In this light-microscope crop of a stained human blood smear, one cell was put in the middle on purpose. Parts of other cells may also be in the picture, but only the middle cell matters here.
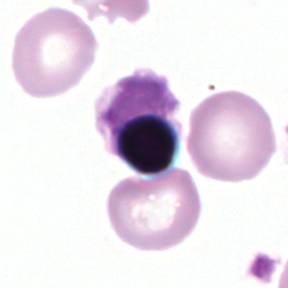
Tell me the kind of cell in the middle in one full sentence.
The cell featured at the centre of this crop is a normoblast.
